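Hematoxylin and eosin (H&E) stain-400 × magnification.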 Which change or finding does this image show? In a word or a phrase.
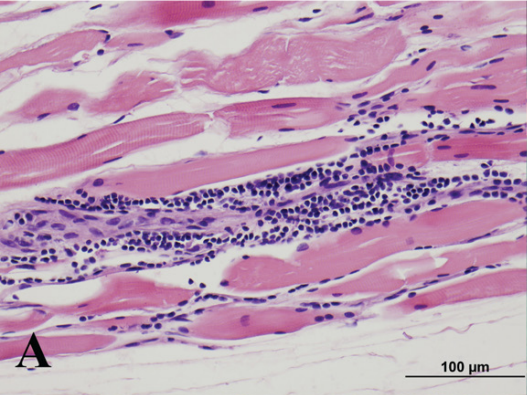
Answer: Chronic inflammatory myopathy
